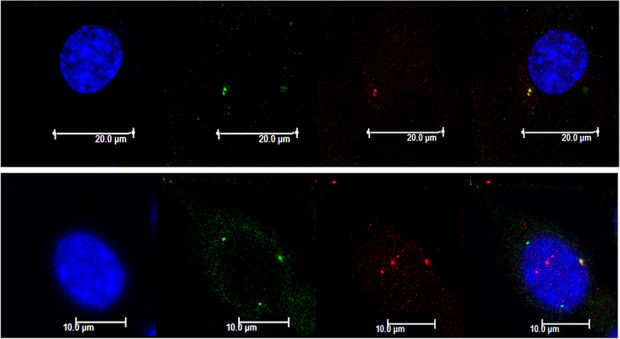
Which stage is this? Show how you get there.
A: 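Each cell has a single intact, rounded blue nucleus. That points to this answer: interphase.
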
